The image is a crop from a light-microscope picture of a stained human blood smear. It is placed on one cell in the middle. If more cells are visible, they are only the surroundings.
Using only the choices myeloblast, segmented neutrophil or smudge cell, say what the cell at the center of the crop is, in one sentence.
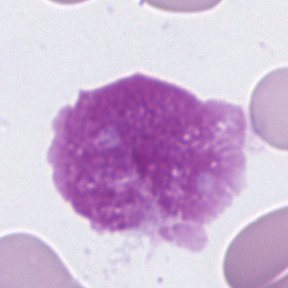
The centrally located cell in the crop is a smudge cell.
